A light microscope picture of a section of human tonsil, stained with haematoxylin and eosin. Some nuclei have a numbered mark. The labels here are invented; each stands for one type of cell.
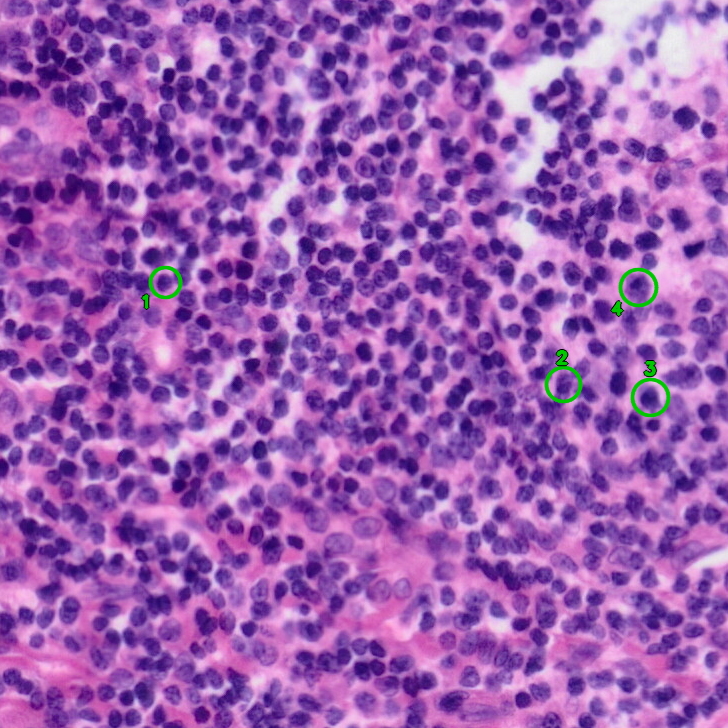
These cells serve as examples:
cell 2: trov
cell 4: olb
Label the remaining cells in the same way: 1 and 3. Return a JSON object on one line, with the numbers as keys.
{"1": "trov", "3": "olb"}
